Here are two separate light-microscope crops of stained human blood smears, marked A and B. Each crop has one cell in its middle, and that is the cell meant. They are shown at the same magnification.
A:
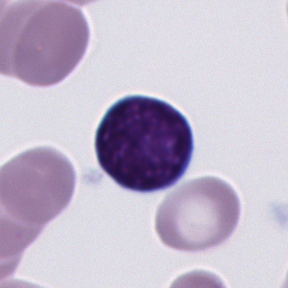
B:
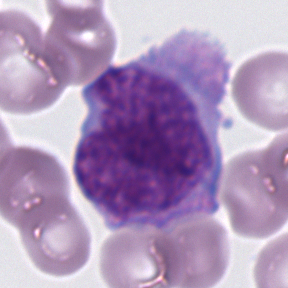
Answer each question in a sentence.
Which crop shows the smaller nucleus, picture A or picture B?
It is the nucleus in picture A; the one in picture B has about 2 times its area.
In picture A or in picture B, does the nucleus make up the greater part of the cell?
The nucleus fills more of the cell in picture A than in picture B.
